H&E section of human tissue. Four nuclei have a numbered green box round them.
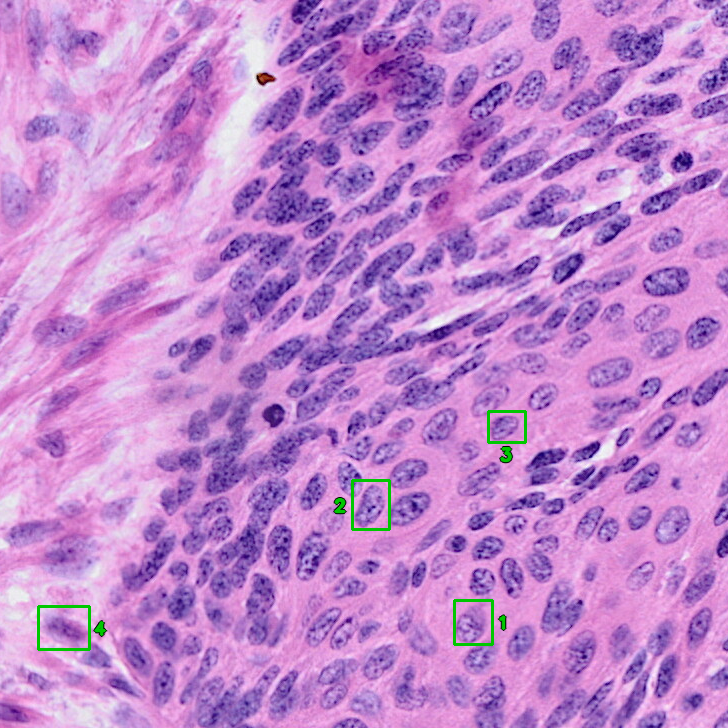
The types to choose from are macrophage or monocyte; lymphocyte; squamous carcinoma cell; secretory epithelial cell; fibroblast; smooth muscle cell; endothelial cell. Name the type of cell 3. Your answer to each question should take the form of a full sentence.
The identity of cell 3 is that of a squamous carcinoma cell.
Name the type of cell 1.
The cell indicated with the number 1 is classed as a squamous carcinoma cell.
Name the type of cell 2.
Cell number 2 in this section is a squamous carcinoma cell.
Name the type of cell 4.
To a fibroblast belongs the nucleus marked 4.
